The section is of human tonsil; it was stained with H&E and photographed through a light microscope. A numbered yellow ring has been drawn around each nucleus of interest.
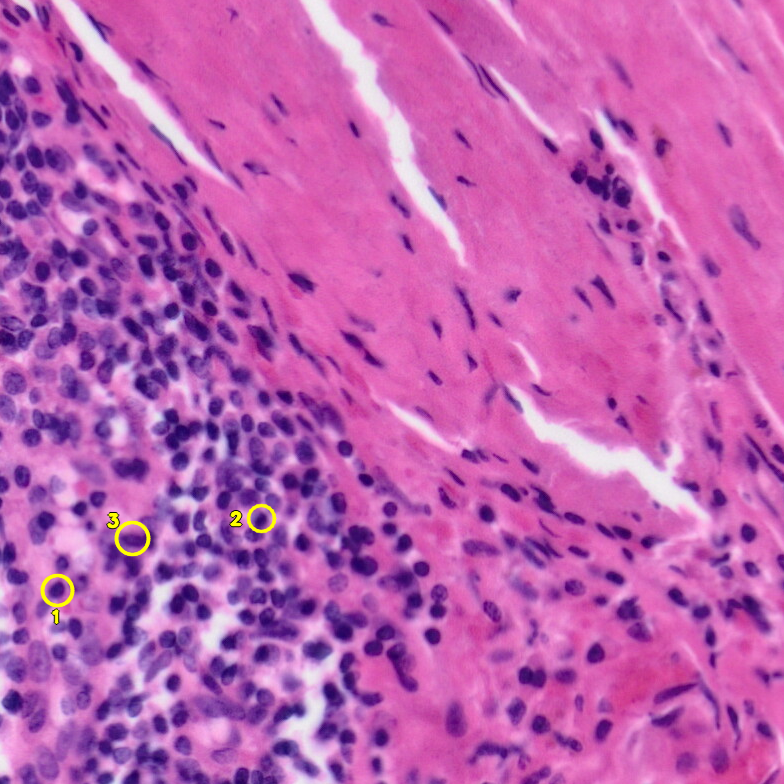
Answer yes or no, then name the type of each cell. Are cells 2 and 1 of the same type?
No; cell 2 is a small lymphocyte, whereas cell 1 is an endothelial cell.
